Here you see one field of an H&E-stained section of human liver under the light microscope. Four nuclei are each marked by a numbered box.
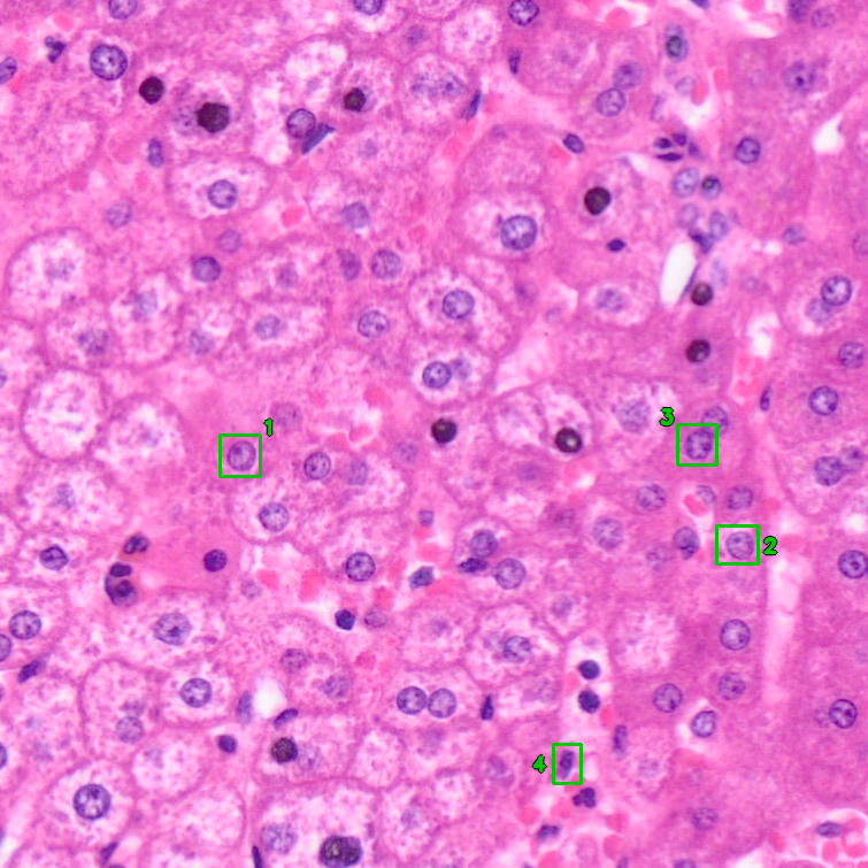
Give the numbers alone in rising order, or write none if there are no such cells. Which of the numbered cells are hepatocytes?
1, 2, 3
